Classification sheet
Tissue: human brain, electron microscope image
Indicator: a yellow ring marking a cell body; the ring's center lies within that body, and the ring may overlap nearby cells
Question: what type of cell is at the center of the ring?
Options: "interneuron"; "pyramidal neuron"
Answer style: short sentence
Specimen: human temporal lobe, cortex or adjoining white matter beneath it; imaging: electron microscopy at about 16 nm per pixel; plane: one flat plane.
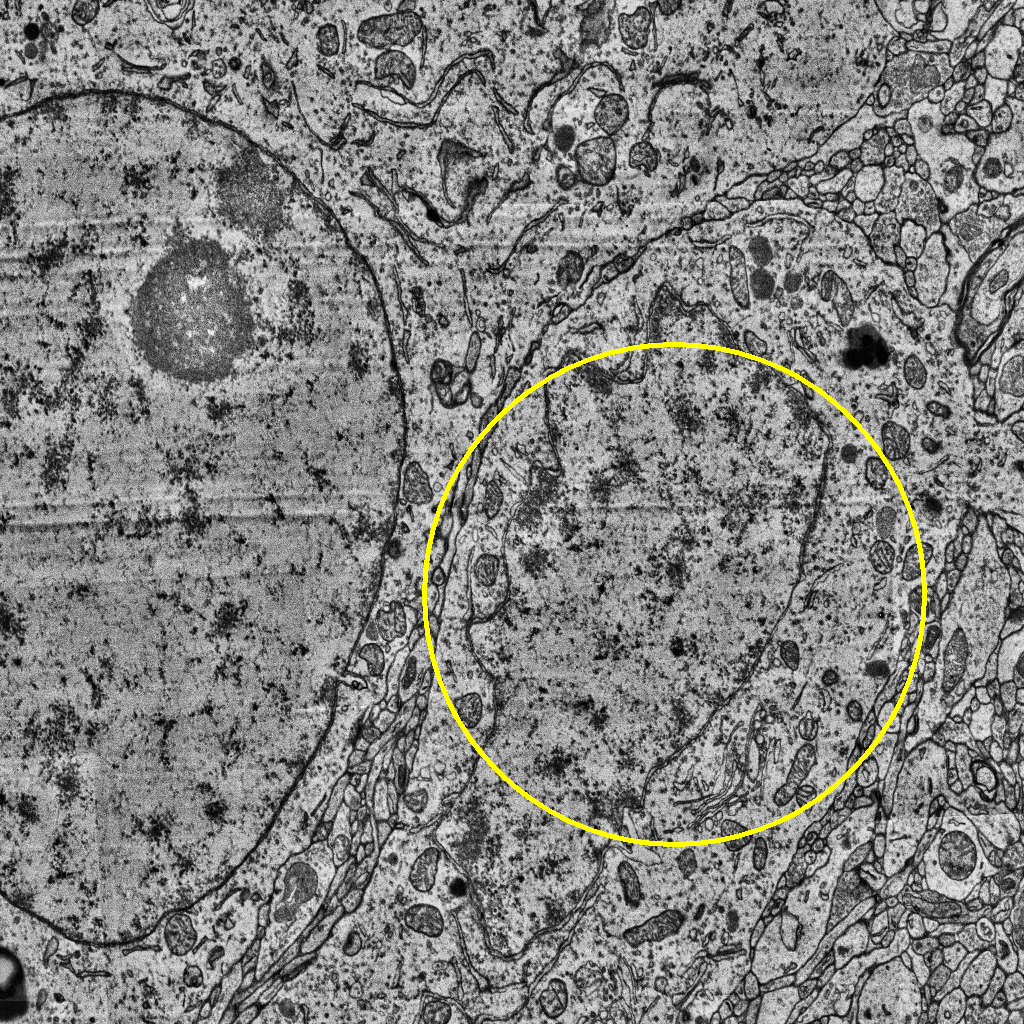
At the ring's center is an interneuron.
